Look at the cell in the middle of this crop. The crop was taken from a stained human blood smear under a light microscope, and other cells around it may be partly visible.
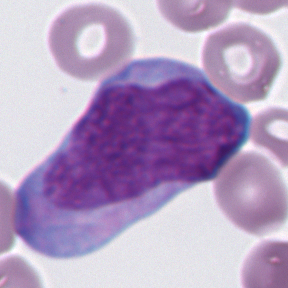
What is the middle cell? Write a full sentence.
In the central position of this crop, the cell is an atypical promyelocyte.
